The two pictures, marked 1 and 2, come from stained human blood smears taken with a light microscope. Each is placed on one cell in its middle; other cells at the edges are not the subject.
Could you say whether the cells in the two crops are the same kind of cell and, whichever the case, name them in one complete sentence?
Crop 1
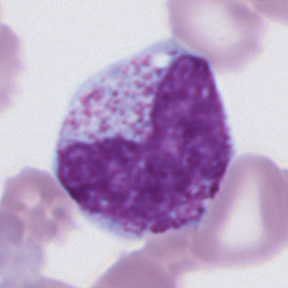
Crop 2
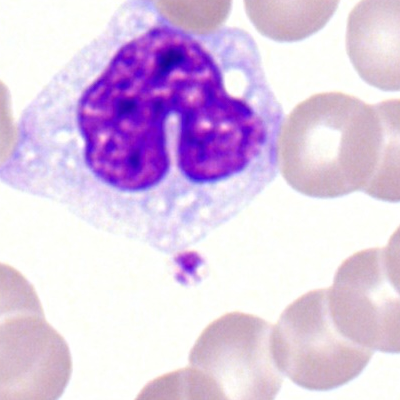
No, crop 1 is where a band neutrophil is, and crop 2 is where a monocyte is.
